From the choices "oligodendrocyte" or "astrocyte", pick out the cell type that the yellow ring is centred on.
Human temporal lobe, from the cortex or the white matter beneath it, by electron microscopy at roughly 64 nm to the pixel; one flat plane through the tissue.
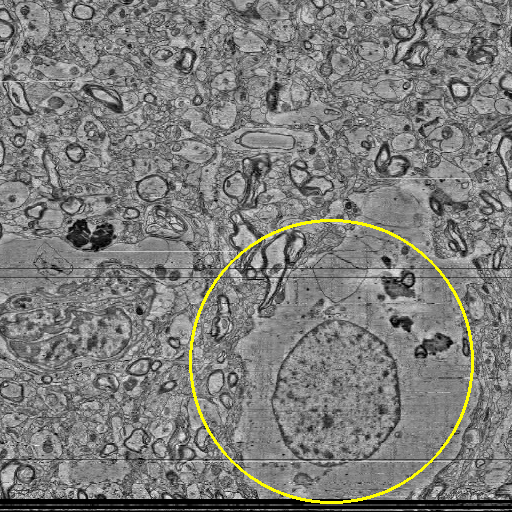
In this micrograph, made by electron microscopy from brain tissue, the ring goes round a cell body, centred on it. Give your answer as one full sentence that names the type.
The yellow ring is centred on an astrocyte, whose cell body it encircles in the picture.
